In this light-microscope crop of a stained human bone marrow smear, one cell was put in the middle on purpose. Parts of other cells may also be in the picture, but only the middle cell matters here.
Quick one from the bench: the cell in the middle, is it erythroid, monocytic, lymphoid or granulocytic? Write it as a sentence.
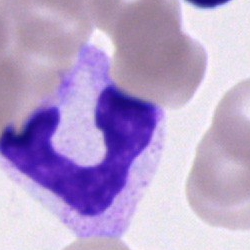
The cell sitting in the middle of this crop is of the granulocytic line.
